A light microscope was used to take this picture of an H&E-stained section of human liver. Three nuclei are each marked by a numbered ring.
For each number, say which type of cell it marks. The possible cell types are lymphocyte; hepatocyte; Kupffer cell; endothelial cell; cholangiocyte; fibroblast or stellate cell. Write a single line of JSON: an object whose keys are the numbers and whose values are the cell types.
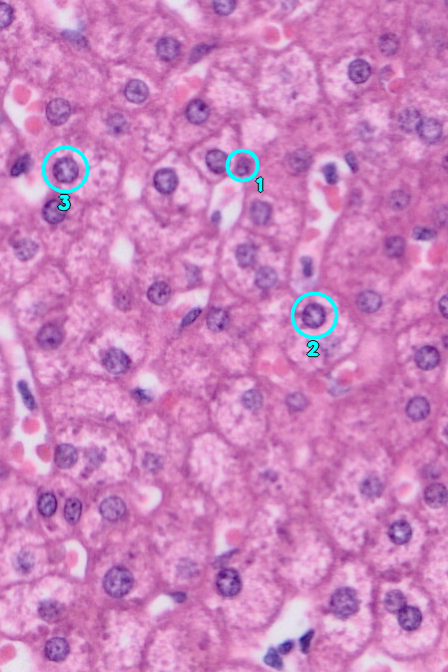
{"1": "fibroblast or stellate cell", "2": "hepatocyte", "3": "hepatocyte"}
